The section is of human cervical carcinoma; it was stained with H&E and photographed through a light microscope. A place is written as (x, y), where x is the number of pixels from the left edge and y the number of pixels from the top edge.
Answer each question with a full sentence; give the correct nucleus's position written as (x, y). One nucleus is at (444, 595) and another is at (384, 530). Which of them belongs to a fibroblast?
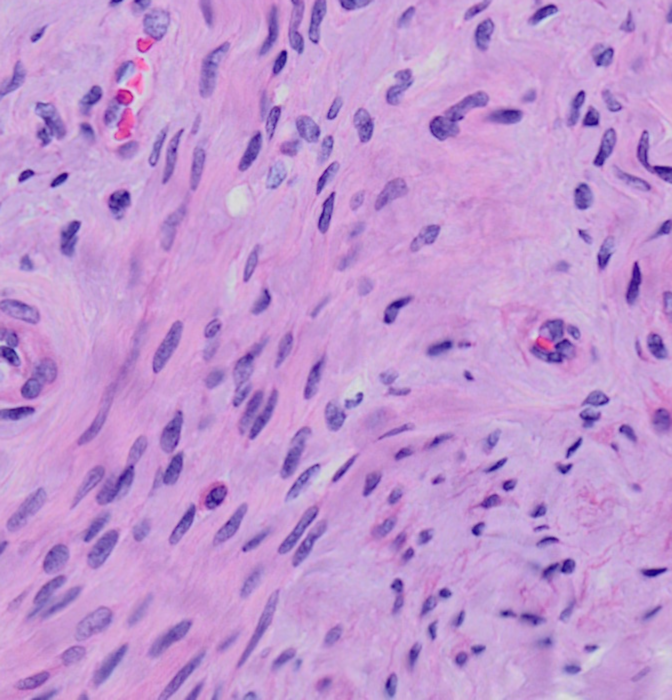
The nucleus at (444, 595) is part of a fibroblast, while the other is not.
